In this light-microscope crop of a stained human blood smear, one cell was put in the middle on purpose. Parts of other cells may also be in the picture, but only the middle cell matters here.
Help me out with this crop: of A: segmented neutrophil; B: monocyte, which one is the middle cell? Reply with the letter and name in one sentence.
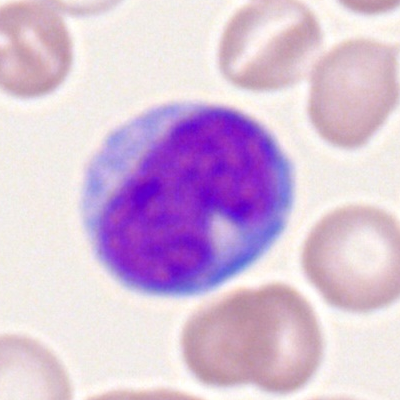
The middle cell of the crop is a monocyte; accordingly, option B is correct.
